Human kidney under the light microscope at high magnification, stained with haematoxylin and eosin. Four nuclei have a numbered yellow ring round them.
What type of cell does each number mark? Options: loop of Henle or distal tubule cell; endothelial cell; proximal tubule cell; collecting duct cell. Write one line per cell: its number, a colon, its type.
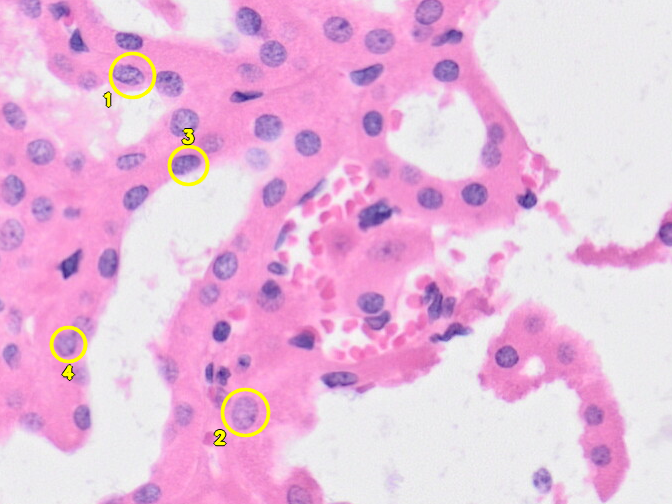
1: loop of Henle or distal tubule cell
2: proximal tubule cell
3: loop of Henle or distal tubule cell
4: loop of Henle or distal tubule cell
